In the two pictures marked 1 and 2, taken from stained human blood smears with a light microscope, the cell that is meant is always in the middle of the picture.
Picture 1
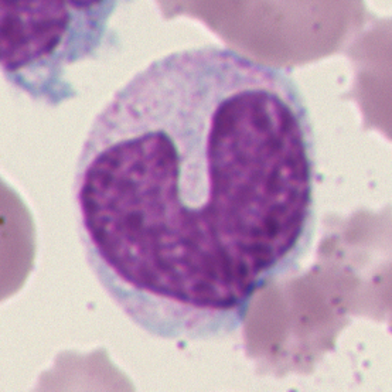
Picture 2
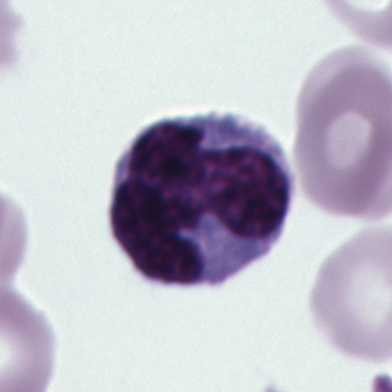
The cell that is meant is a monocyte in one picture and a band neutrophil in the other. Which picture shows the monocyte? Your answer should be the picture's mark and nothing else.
2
